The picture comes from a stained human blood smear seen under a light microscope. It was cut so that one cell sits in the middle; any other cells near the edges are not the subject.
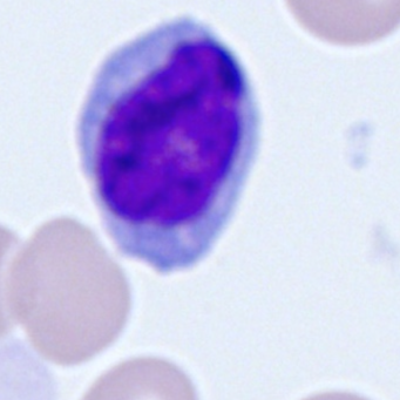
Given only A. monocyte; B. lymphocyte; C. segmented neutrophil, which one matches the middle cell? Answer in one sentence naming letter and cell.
The cell occupying the centre is a lymphocyte; option B is thus the correct choice.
